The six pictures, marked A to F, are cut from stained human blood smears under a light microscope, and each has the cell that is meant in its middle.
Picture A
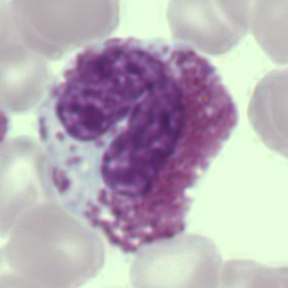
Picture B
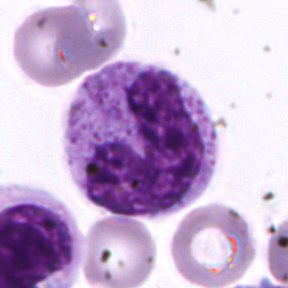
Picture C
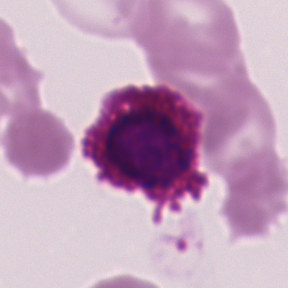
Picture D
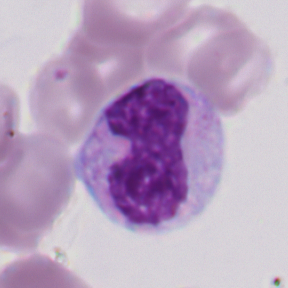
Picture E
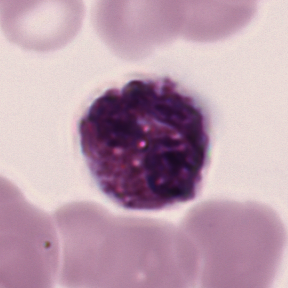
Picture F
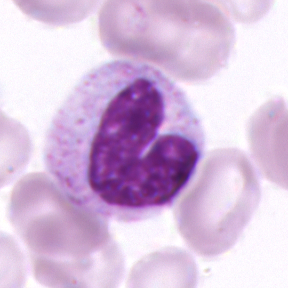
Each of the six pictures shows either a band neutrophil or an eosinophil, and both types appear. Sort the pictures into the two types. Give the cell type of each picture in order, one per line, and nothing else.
eosinophil
band neutrophil
eosinophil
band neutrophil
eosinophil
band neutrophil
